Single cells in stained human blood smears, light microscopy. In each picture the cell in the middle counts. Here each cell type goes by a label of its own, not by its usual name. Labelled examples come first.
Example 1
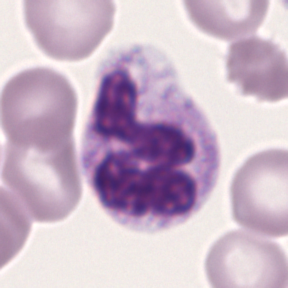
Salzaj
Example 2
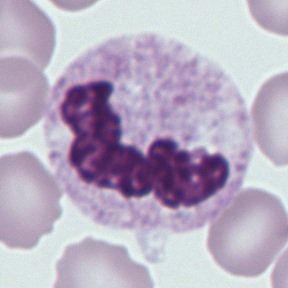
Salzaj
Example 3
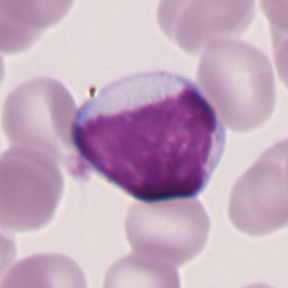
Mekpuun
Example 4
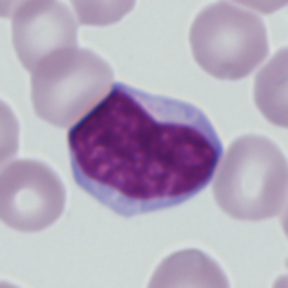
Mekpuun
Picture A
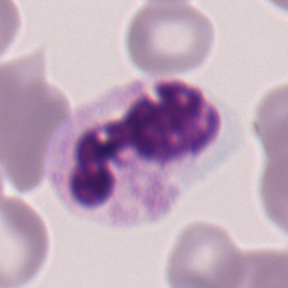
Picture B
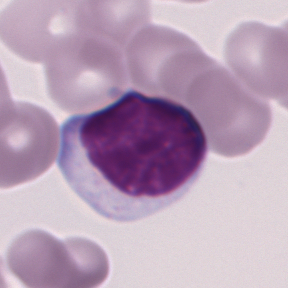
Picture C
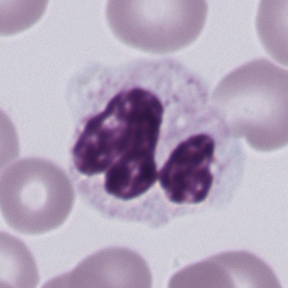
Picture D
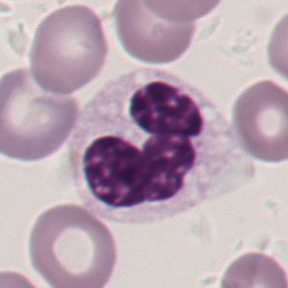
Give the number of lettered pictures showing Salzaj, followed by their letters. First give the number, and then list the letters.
3, namely A, C, D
